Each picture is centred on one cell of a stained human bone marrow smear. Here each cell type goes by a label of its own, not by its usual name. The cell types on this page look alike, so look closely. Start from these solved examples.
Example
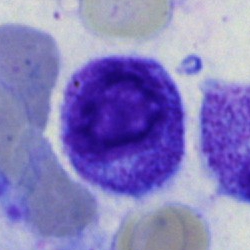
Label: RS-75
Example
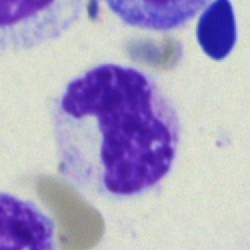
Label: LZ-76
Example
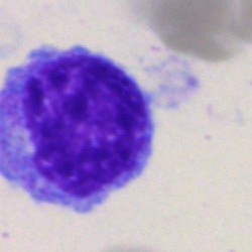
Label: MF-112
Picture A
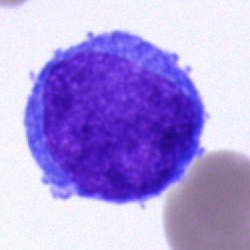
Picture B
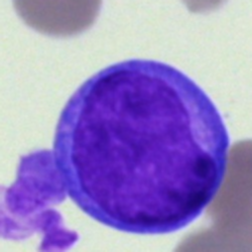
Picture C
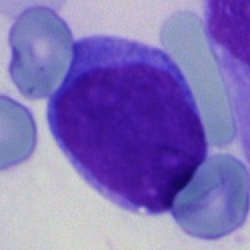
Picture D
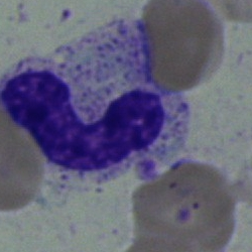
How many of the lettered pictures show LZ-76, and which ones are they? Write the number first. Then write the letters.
1: D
